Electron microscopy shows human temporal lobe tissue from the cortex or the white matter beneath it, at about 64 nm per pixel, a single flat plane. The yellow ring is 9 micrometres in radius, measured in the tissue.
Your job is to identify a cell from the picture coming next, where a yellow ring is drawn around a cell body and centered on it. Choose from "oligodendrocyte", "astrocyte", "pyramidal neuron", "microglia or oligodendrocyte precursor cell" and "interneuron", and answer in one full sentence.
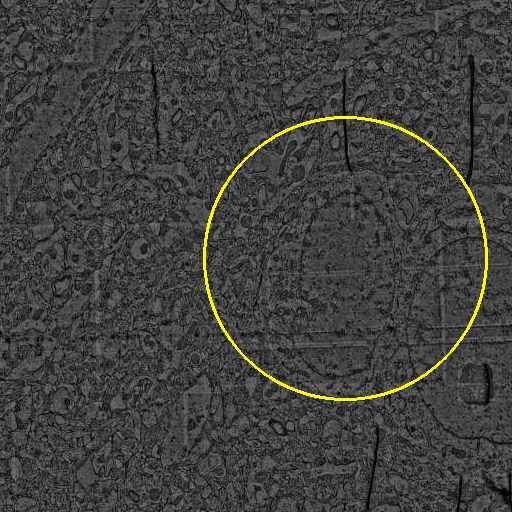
Centered in the yellow ring of the picture is the body of an interneuron.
